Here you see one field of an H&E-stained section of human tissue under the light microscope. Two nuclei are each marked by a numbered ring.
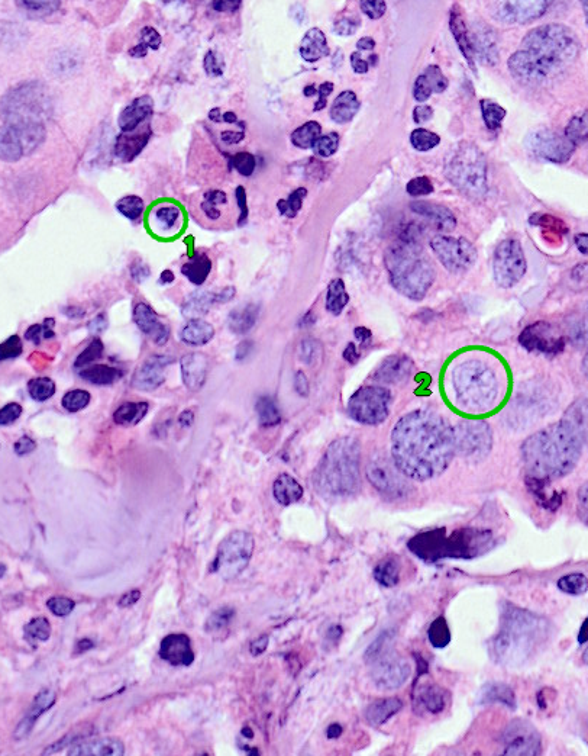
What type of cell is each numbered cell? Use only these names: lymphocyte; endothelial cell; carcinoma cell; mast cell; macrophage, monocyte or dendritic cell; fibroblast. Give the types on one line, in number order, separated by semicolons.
lymphocyte; carcinoma cell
